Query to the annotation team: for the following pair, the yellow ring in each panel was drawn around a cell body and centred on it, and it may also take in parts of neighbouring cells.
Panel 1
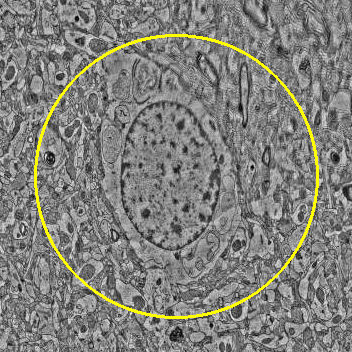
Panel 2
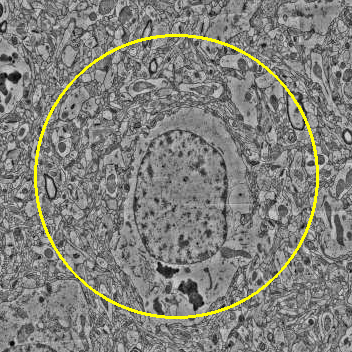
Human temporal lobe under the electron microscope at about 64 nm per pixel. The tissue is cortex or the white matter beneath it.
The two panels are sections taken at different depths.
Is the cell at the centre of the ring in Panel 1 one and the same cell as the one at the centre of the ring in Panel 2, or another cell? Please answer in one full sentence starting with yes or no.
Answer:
No, the two rings are drawn around two distinct cells.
